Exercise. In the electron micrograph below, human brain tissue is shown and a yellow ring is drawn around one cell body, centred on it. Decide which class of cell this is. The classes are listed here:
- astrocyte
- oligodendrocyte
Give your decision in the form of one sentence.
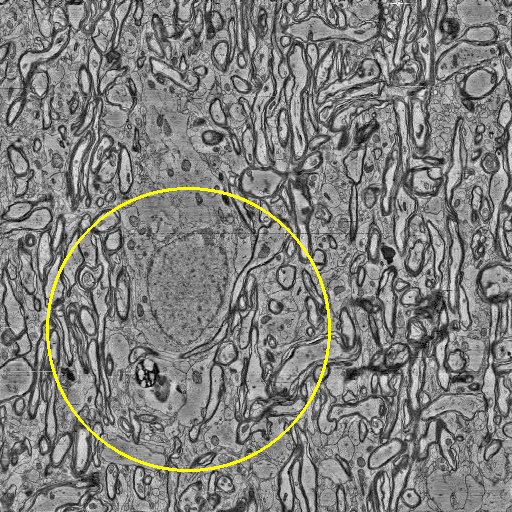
The cell body marked by the ring belongs to an astrocyte.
